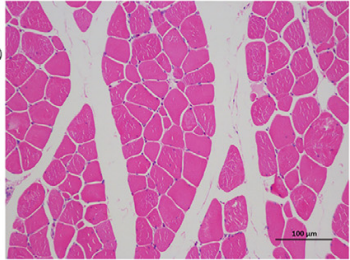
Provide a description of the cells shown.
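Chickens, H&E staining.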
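This is a cross-section of skeletal muscle in which many muscle fibers are cut transversely. The bundles are separated by wide pale, largely unstained bands of connective tissue space. Small dark purple nuclei sit at the edges of the fibers rather than in their centres.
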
